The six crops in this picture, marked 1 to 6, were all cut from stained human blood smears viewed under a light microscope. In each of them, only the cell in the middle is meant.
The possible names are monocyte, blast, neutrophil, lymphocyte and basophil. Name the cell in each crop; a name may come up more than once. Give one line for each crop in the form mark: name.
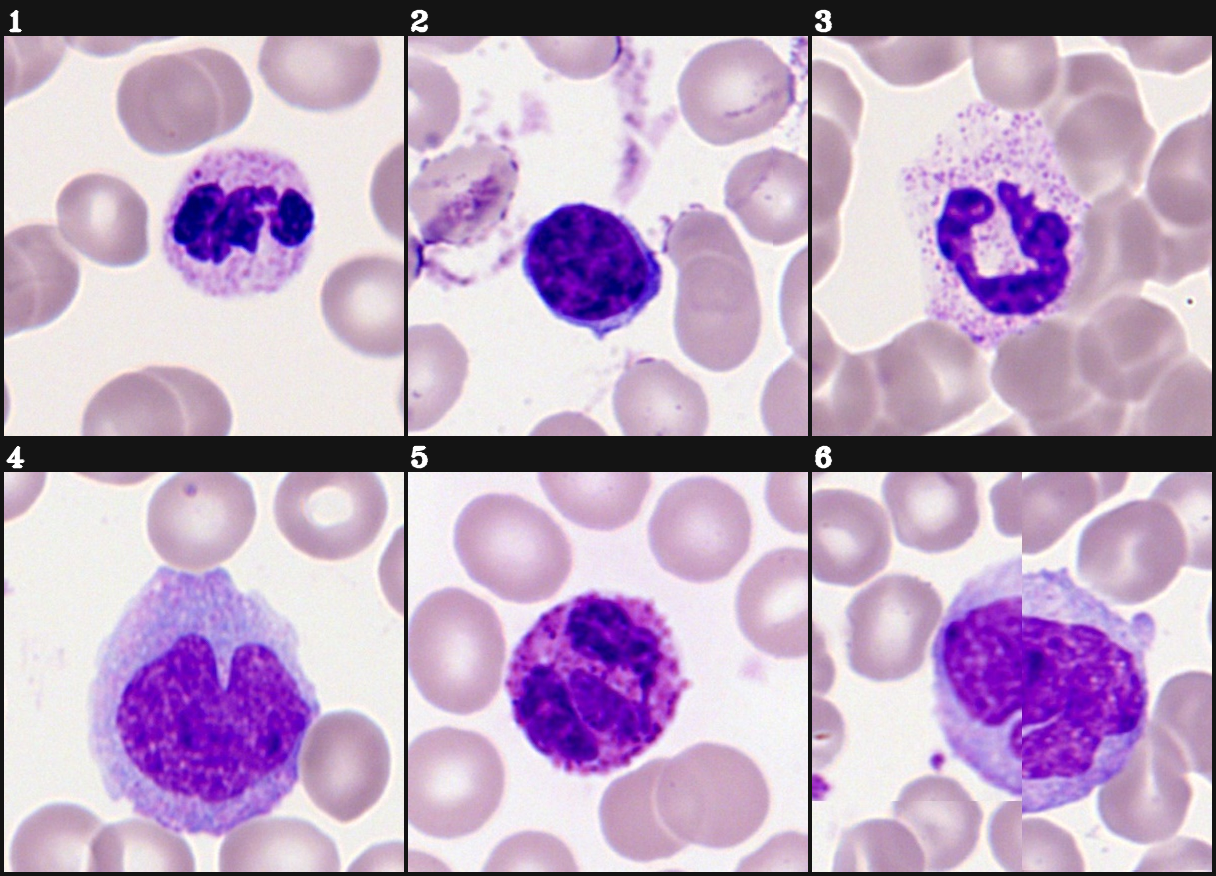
1: neutrophil
2: lymphocyte
3: neutrophil
4: monocyte
5: basophil
6: monocyte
